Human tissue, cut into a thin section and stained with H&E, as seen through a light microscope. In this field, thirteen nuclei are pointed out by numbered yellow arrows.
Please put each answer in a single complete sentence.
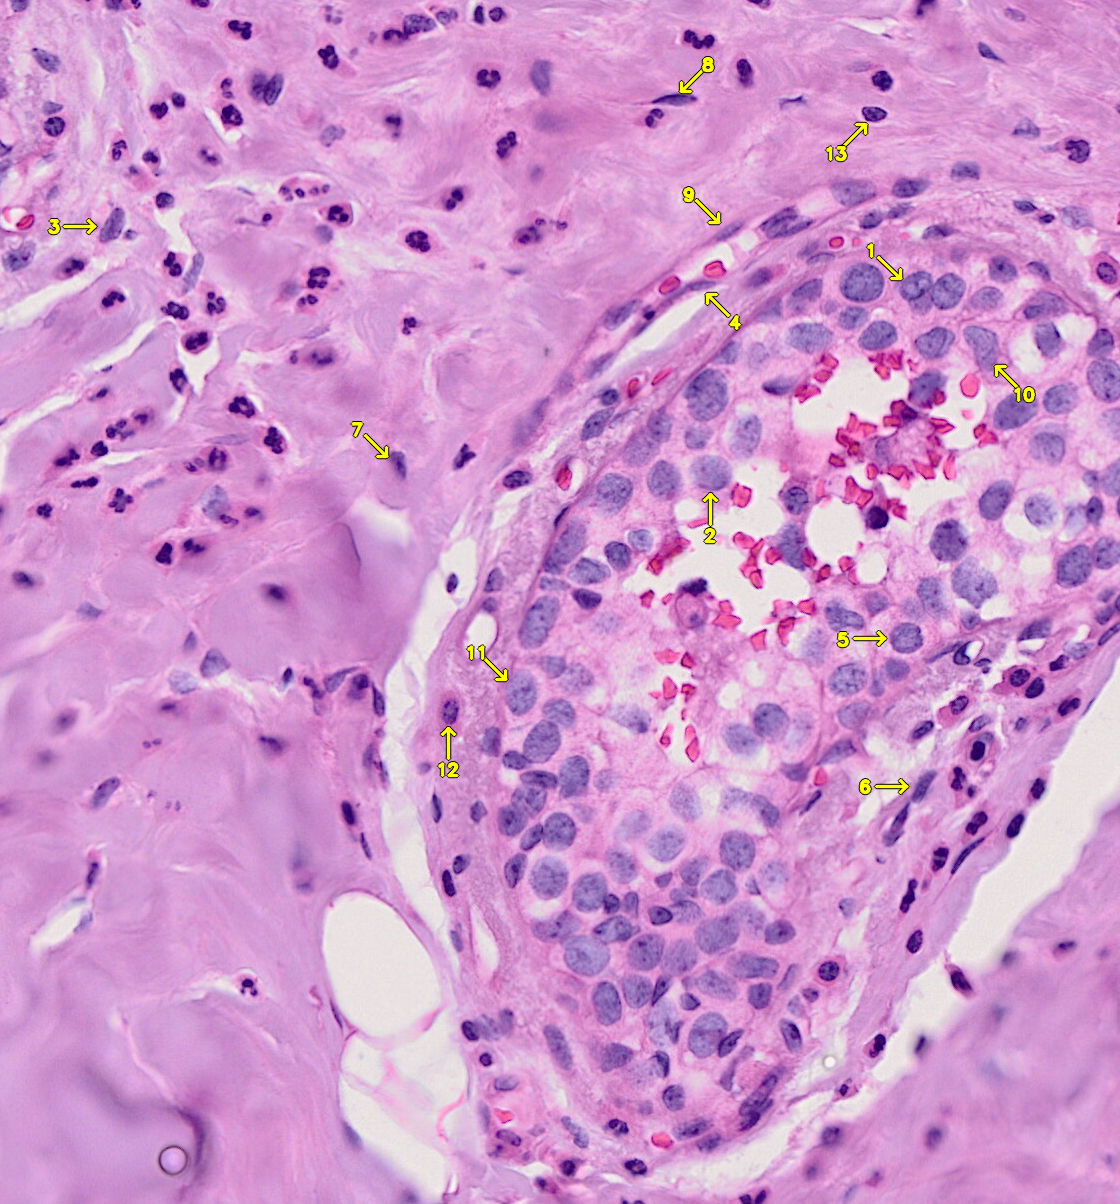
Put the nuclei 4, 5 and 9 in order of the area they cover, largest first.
By area, largest first, they run 5, 9, 4.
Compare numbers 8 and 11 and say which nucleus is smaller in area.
Nucleus 8 is the smaller one; nucleus 11 covers about 3 times its area.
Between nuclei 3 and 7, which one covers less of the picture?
It is nucleus 7; nucleus 3 has about 1.5 times its area.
